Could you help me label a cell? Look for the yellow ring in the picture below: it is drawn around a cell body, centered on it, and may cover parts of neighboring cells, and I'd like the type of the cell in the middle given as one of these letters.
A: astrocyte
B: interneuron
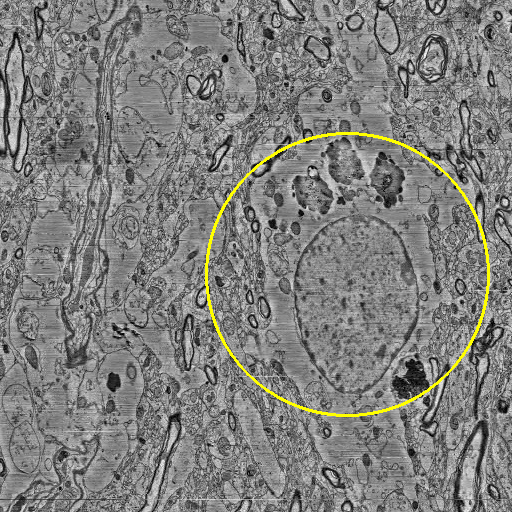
A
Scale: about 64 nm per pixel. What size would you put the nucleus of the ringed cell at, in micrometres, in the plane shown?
In this plane the nucleus measures roughly 12 by 8 micrometres.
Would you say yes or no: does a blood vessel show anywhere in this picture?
Yes, the picture includes a blood vessel.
